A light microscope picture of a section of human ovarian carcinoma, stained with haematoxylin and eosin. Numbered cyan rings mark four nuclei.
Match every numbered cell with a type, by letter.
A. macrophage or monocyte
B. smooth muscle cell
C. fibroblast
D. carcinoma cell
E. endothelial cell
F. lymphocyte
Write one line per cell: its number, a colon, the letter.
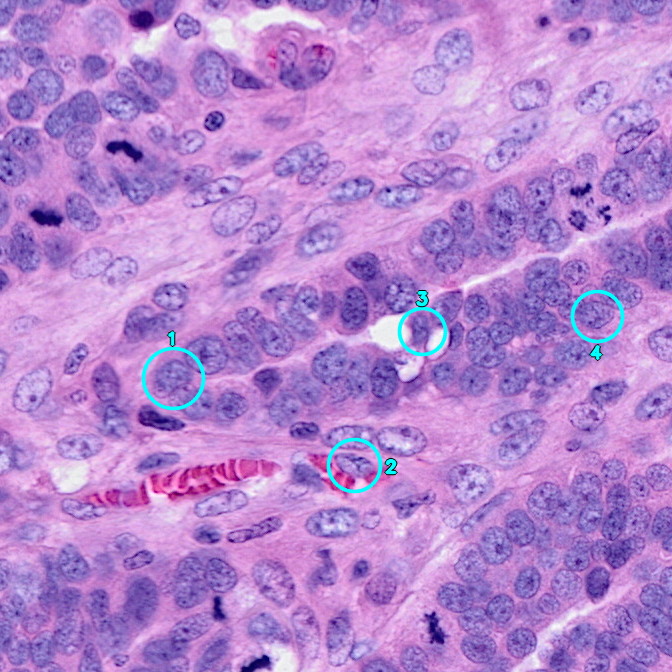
1: D
2: E
3: D
4: D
